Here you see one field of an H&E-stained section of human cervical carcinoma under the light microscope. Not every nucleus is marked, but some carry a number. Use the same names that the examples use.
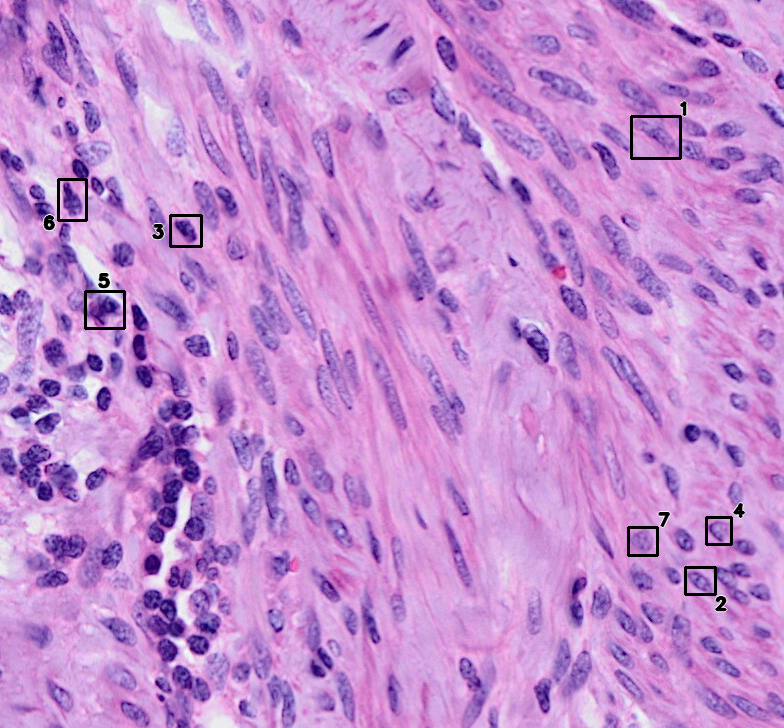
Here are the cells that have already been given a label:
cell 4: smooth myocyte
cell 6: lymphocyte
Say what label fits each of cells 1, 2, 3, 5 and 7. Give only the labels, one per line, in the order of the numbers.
smooth myocyte
smooth myocyte
lymphocyte
lymphocyte
smooth myocyte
